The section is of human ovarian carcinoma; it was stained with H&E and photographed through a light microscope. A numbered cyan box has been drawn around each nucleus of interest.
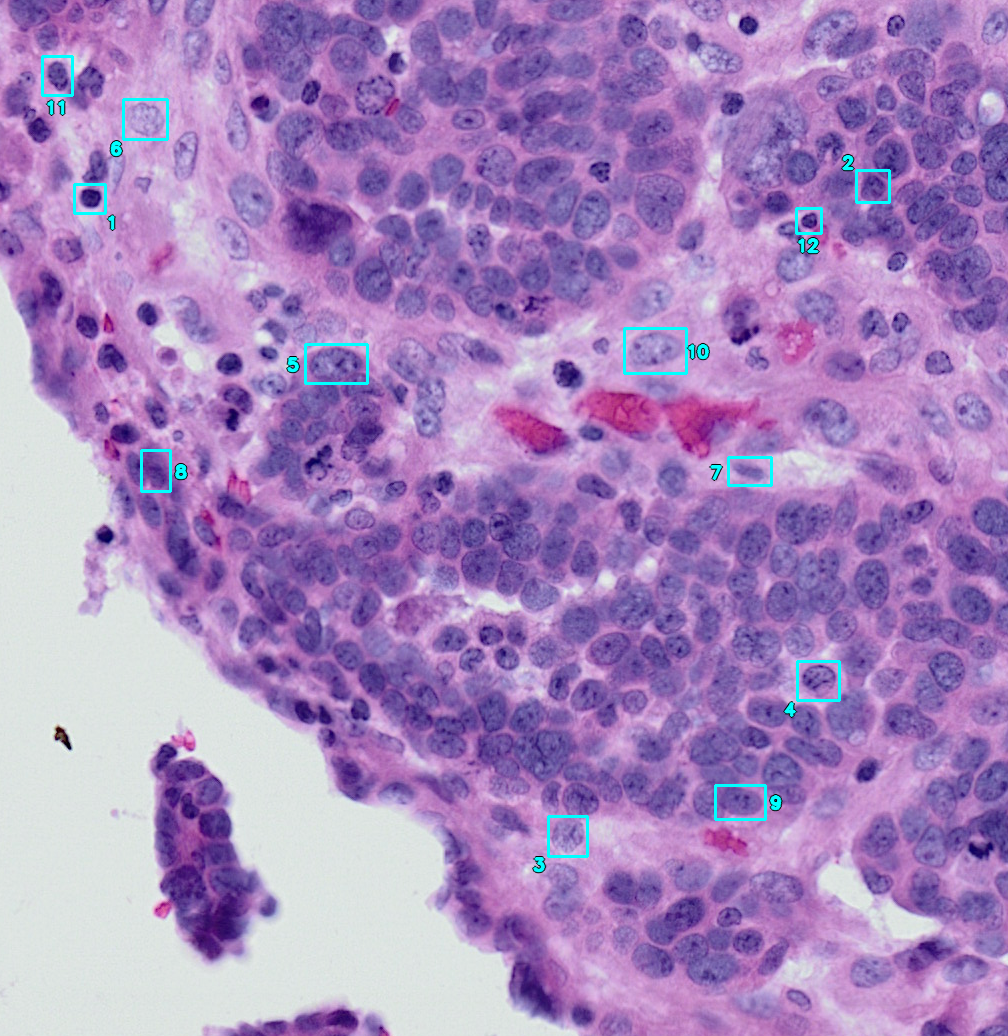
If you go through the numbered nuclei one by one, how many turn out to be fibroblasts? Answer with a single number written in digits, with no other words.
3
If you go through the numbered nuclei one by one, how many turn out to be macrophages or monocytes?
2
